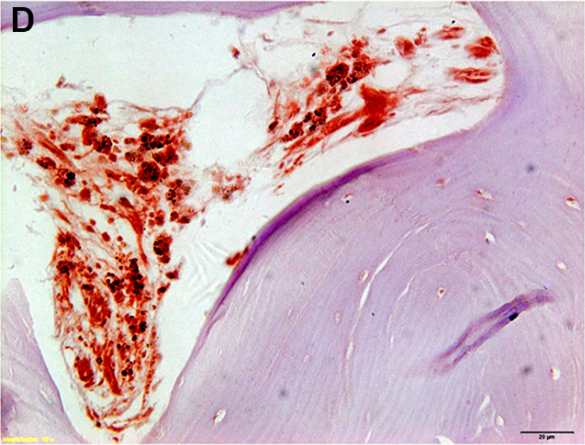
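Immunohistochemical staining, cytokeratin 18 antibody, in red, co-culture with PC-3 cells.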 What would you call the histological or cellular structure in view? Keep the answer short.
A: Ossified bone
